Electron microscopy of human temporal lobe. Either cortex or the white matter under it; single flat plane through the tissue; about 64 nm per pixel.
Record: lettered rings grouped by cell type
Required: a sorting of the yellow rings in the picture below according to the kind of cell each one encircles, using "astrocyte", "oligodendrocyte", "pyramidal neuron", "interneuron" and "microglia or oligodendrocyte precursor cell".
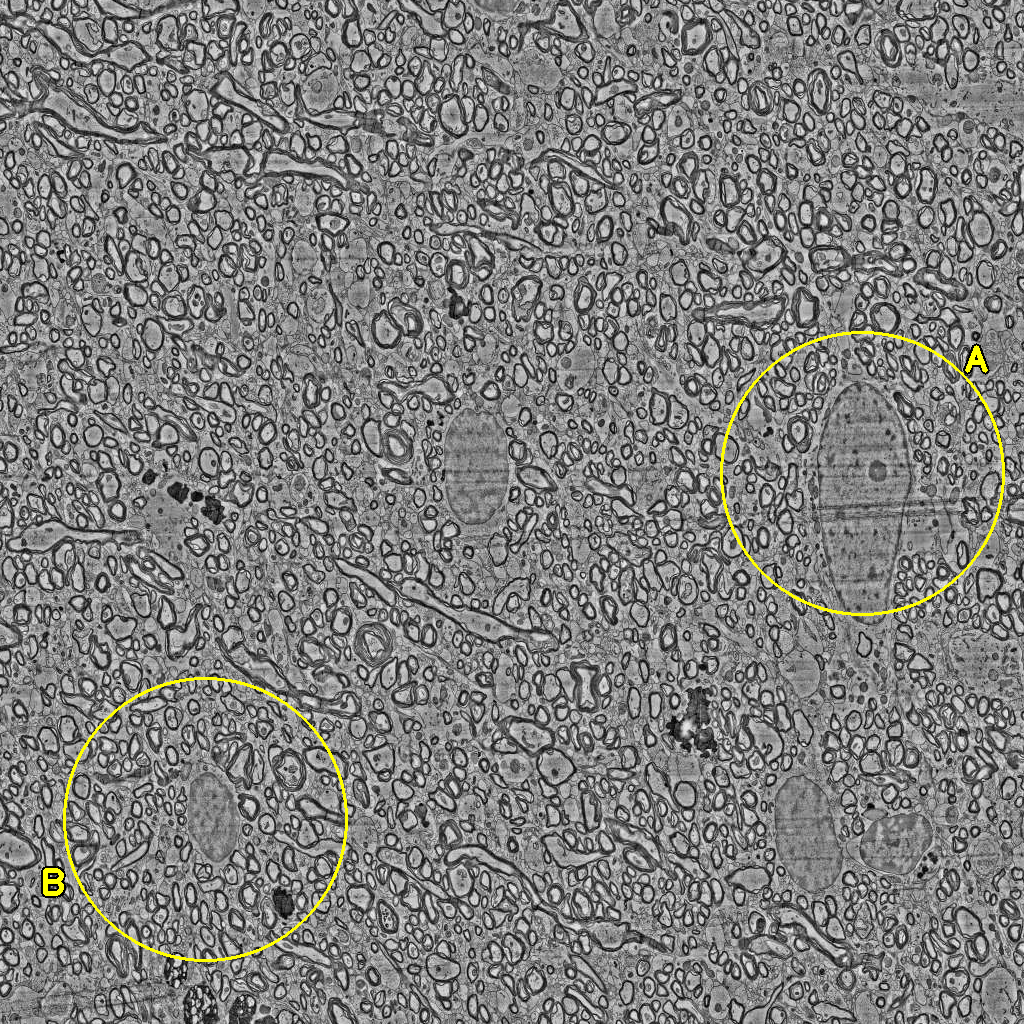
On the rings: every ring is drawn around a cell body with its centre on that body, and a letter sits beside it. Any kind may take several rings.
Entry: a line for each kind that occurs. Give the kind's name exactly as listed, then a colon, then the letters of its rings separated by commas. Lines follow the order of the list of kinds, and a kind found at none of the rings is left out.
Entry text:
astrocyte: A
oligodendrocyte: B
